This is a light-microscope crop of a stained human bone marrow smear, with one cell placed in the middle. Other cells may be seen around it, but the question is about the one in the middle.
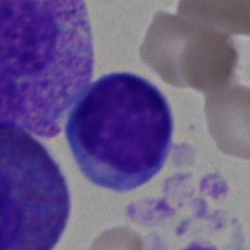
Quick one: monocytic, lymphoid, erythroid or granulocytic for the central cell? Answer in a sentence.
Our central cell here is part of the lymphoid lineage.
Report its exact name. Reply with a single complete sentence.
The centrally located cell in the crop is a lymphocyte.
